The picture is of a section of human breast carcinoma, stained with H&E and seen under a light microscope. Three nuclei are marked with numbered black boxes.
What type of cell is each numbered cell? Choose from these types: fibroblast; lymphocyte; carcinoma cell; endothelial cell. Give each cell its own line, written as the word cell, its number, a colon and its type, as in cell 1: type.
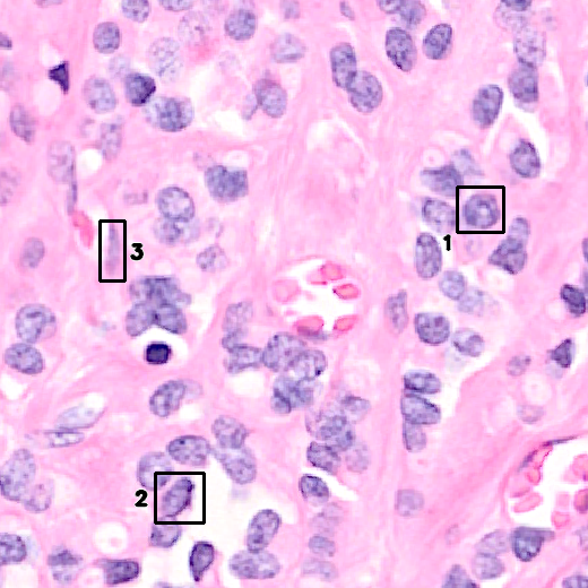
cell 1: carcinoma cell
cell 2: carcinoma cell
cell 3: endothelial cell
